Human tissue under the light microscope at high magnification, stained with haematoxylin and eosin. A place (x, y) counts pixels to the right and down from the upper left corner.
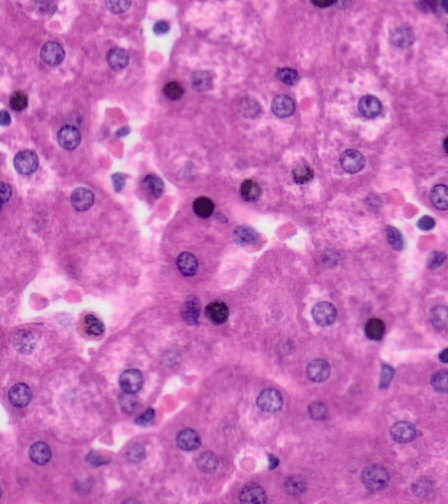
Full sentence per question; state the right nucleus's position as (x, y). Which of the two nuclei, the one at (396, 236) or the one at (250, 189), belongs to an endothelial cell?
The nucleus at (396, 236) is the member of the pair belonging to an endothelial cell.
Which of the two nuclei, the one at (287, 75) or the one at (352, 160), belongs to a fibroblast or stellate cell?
Assigned to a fibroblast or stellate cell is the nucleus located at (287, 75).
